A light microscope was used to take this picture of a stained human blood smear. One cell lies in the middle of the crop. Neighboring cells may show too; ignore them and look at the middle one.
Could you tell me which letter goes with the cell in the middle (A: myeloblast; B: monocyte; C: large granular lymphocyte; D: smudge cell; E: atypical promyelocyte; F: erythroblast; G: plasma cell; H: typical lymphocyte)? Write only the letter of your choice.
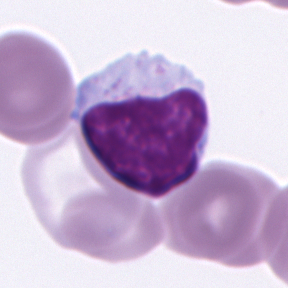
H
